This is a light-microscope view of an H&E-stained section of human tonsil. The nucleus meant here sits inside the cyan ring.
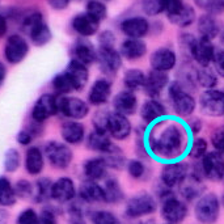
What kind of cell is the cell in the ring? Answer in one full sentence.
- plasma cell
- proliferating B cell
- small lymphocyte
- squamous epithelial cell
The classification of the cell in the ring is as a small lymphocyte.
